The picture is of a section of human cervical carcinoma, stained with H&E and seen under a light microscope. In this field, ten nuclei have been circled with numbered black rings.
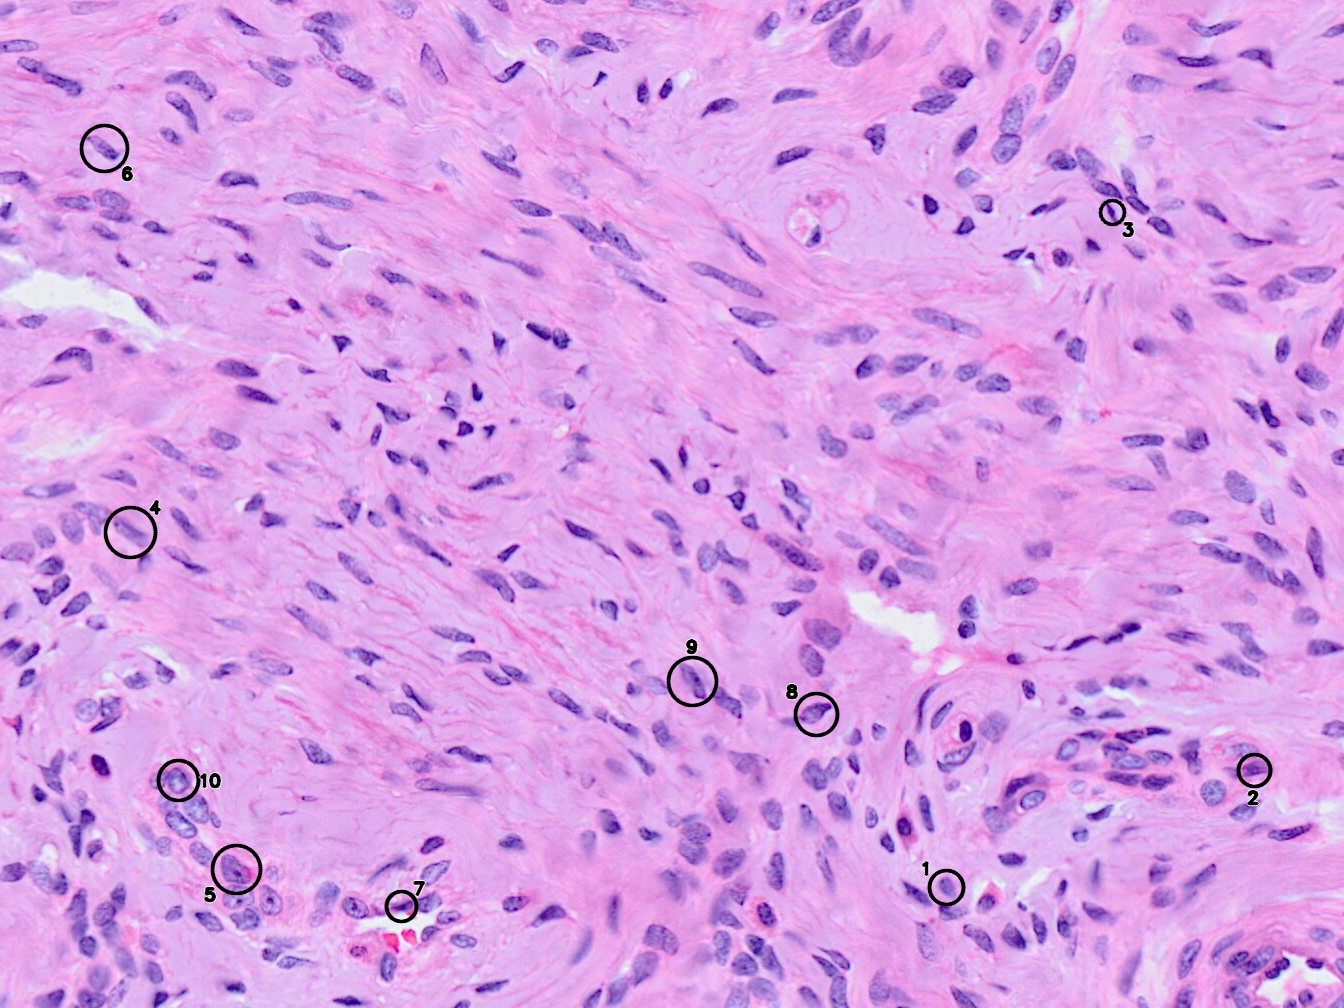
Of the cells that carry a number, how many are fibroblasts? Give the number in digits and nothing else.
6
